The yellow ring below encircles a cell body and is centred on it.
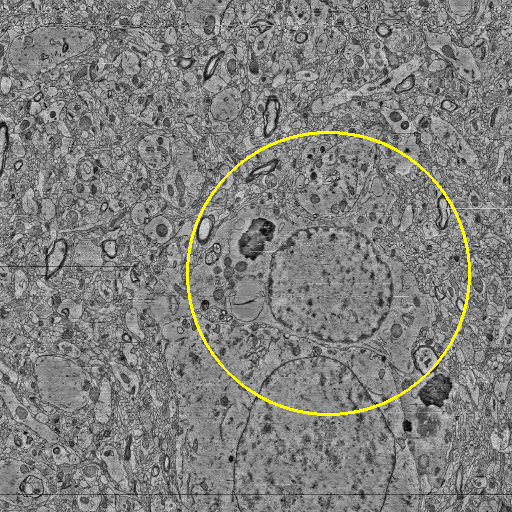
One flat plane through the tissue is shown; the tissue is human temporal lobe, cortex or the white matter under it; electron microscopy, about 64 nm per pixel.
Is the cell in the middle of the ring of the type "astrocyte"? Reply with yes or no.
yes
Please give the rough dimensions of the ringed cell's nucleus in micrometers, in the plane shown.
About 8 micrometers across, in this plane.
